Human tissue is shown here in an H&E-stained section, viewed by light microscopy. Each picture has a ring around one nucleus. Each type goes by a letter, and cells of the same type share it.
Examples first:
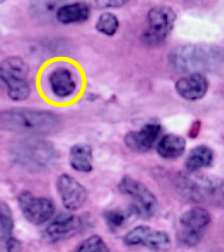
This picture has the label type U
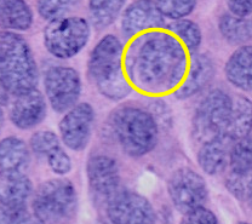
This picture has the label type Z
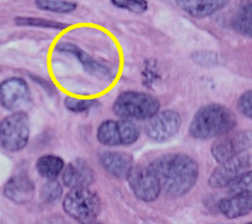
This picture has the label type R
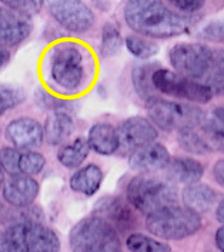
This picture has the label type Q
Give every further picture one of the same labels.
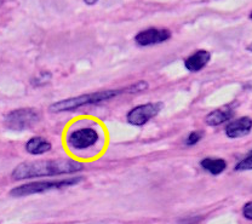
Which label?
type U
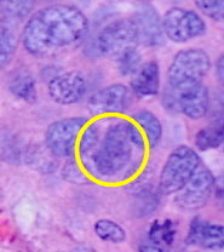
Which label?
type Z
